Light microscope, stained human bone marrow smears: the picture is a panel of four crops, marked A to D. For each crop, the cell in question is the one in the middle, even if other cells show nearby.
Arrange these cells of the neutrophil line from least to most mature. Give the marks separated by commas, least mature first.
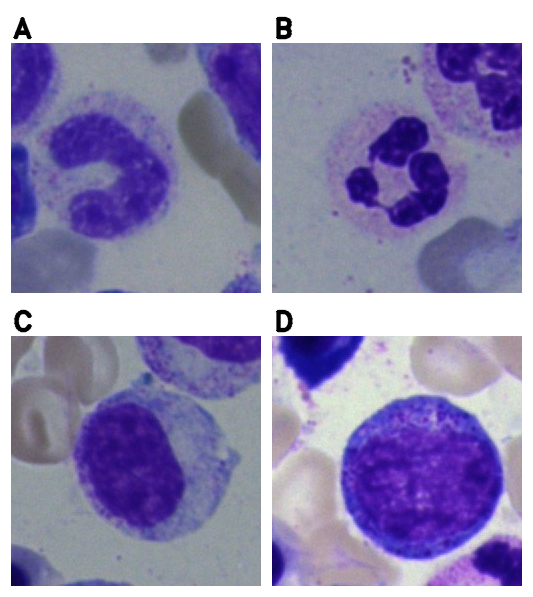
D, C, A, B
